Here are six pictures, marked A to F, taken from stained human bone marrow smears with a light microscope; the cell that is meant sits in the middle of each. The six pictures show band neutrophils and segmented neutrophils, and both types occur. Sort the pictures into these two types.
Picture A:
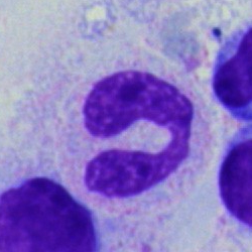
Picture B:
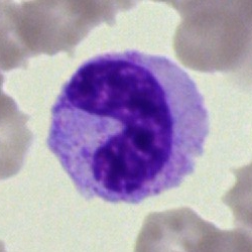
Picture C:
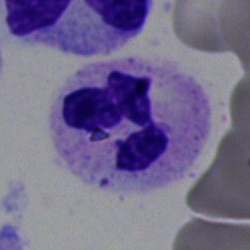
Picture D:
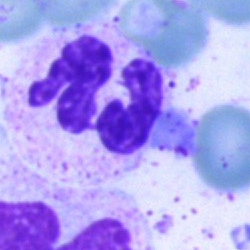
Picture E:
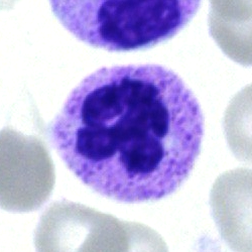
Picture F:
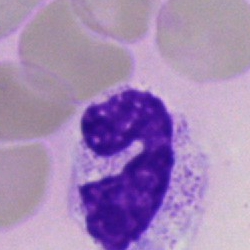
A: segmented neutrophil
B: band neutrophil
C: segmented neutrophil
D: segmented neutrophil
E: segmented neutrophil
F: band neutrophil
